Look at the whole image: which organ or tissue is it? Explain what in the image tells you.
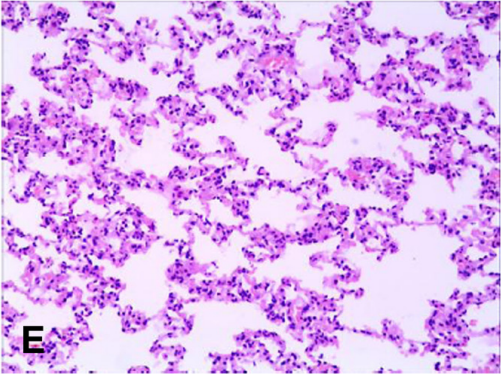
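Lung parenchyma. Many open, air-filled alveolar spaces.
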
